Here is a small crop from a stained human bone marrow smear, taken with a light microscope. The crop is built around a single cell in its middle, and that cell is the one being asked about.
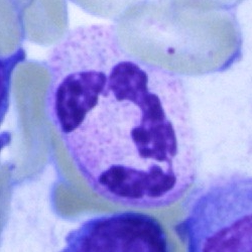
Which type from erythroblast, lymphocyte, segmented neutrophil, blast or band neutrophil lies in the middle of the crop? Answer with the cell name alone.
segmented neutrophil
